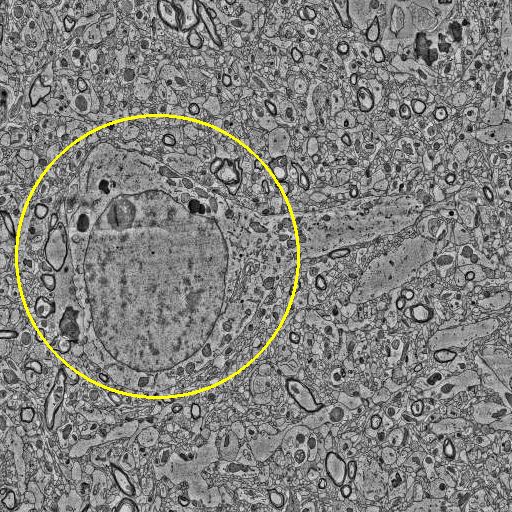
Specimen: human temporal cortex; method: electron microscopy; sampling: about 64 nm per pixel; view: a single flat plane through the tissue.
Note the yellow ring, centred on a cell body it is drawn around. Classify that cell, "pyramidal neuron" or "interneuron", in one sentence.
The cell the ring is centred on is a pyramidal neuron.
